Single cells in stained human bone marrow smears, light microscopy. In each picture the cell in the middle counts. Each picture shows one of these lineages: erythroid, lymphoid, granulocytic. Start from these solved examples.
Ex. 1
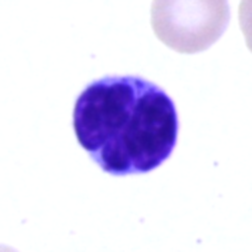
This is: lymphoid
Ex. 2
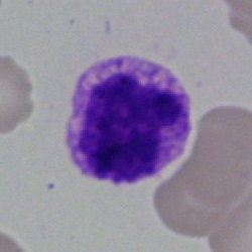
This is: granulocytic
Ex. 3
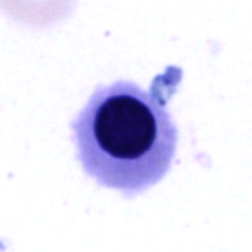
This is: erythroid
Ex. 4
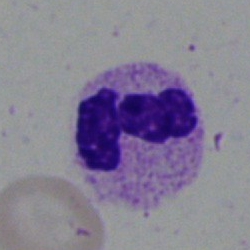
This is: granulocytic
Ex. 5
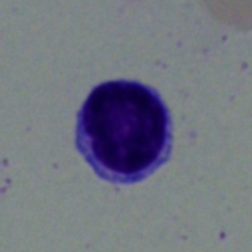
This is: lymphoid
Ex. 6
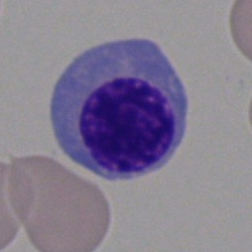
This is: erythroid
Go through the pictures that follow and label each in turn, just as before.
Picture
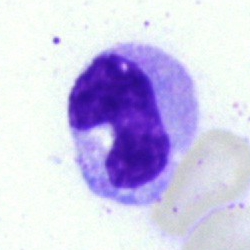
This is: granulocytic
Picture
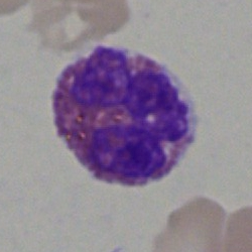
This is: granulocytic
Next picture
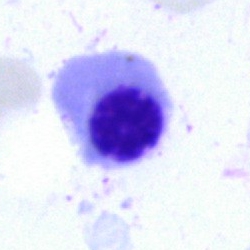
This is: erythroid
